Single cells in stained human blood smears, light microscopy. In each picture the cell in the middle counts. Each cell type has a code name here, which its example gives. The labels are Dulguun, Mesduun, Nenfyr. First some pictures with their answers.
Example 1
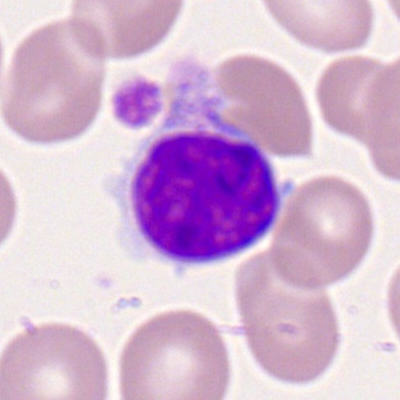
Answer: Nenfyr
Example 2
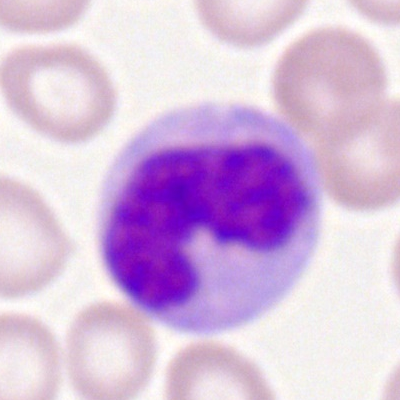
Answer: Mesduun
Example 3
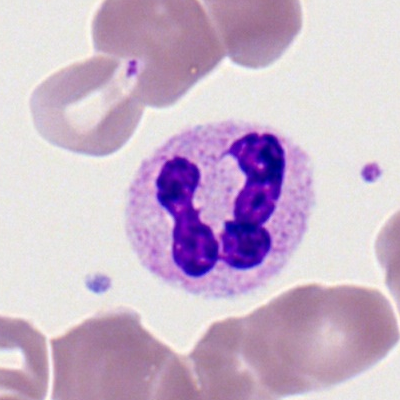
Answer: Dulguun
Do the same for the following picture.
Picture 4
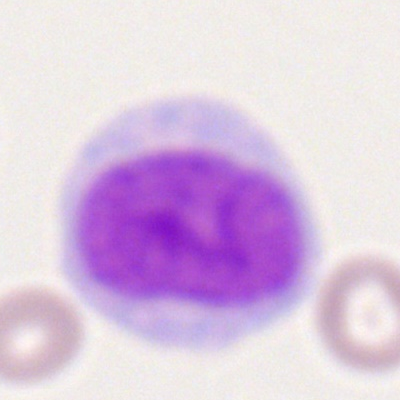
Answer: Mesduun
